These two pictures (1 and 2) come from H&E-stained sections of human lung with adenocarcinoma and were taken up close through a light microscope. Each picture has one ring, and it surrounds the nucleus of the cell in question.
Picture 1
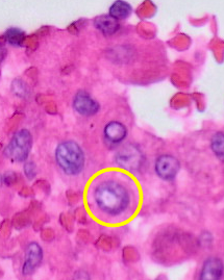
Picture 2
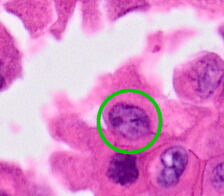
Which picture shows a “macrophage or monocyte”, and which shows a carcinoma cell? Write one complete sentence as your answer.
Picture 1 shows a “macrophage or monocyte” and picture 2 shows a carcinoma cell.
